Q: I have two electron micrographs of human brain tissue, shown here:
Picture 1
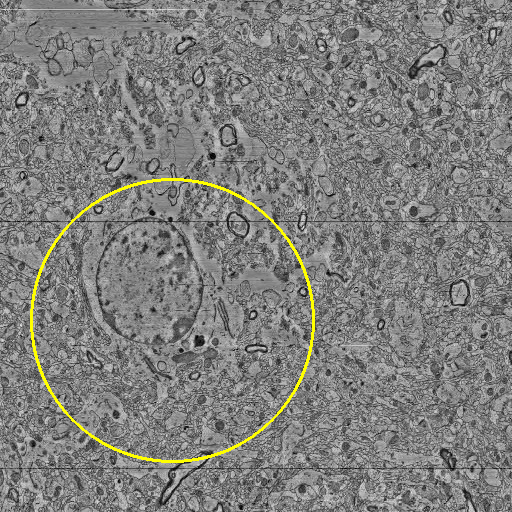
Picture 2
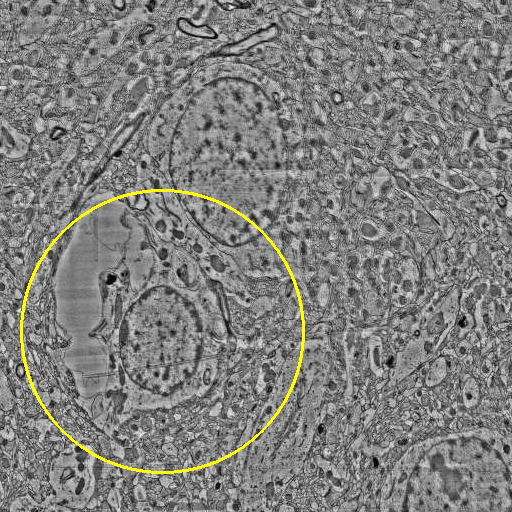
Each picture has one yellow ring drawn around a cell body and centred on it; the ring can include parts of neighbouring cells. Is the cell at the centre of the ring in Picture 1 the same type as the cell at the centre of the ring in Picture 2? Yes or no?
yes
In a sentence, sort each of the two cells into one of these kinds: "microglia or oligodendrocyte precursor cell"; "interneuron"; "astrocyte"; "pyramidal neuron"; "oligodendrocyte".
In the first picture and in the second, the ring is centred on an astrocyte.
